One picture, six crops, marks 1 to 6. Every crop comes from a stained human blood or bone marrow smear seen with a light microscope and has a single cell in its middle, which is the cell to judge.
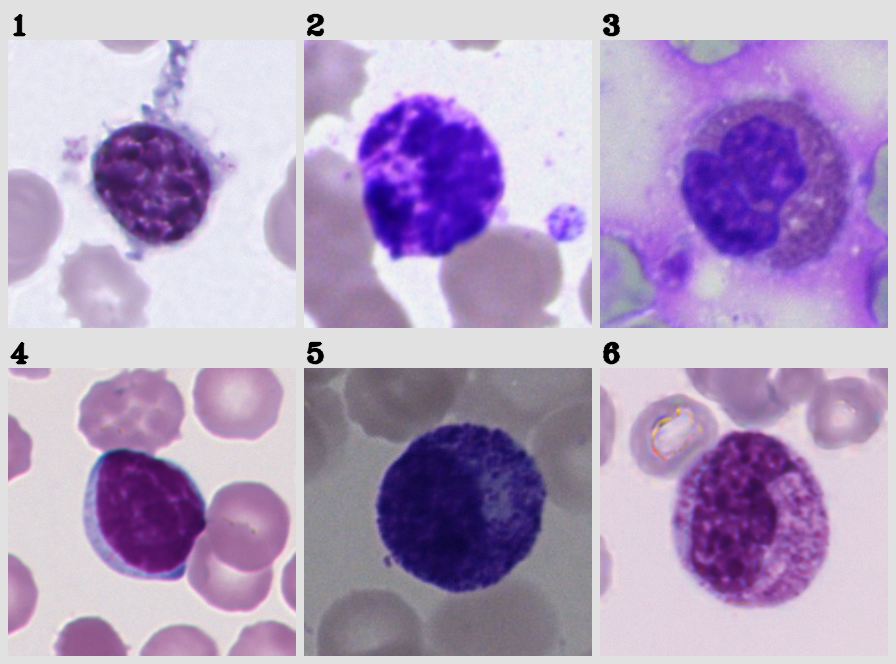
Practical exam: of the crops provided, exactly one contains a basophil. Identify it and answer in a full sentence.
The crop marked 2 is the one that shows a basophil.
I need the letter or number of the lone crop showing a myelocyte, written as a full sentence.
In the set of crops, crop 5 is the one that contains a myelocyte.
